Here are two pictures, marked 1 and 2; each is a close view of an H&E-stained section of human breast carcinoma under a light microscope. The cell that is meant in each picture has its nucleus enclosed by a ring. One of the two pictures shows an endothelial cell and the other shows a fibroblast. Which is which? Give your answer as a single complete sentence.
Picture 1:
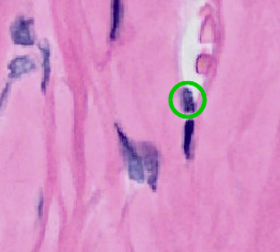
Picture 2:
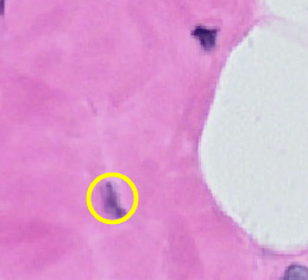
It is picture 1 that shows an endothelial cell, and picture 2 that shows a fibroblast.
